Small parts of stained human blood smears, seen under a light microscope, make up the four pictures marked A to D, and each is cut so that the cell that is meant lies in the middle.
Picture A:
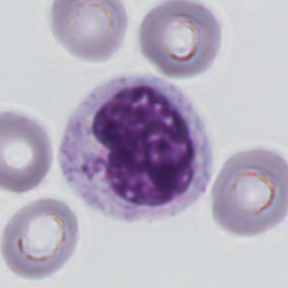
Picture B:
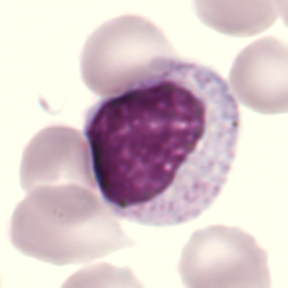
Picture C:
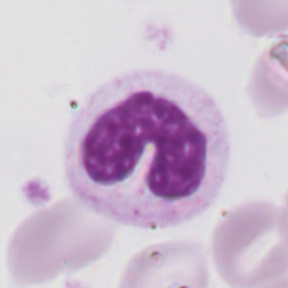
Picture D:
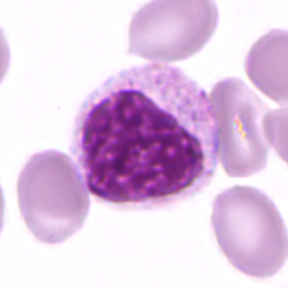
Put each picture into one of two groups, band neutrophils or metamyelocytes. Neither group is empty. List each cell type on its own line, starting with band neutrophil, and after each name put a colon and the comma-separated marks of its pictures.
band neutrophil: C
metamyelocyte: A, B, D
